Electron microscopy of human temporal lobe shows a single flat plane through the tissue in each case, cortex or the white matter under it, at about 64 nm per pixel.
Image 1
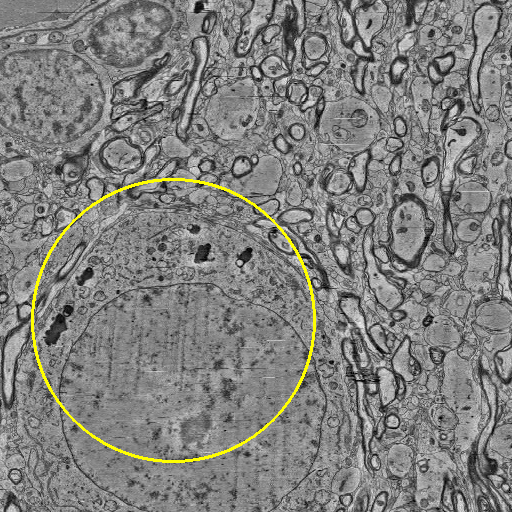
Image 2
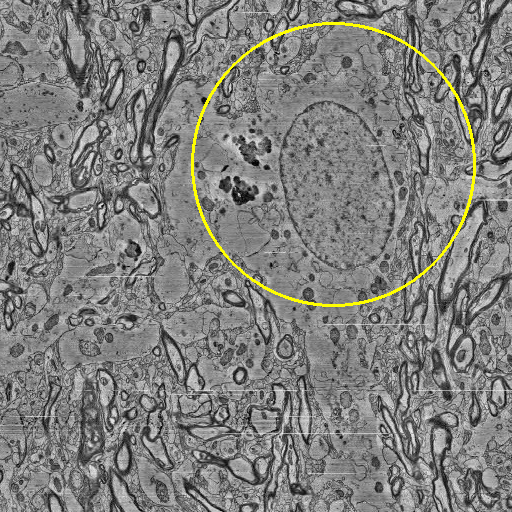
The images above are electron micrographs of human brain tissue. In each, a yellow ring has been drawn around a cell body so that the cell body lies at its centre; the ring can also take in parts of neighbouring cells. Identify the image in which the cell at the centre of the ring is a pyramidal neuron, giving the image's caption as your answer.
Image 1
